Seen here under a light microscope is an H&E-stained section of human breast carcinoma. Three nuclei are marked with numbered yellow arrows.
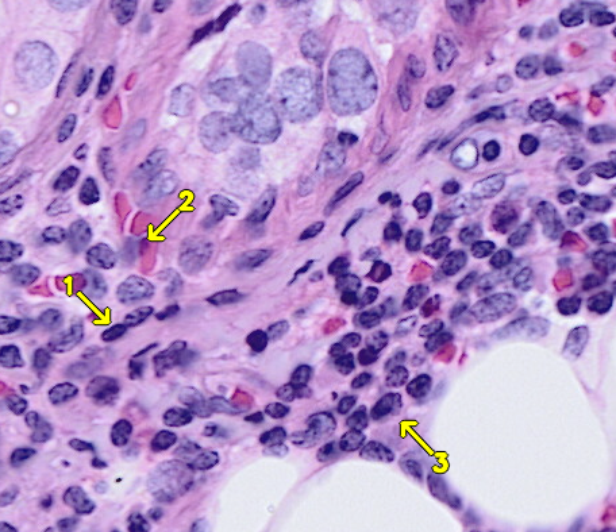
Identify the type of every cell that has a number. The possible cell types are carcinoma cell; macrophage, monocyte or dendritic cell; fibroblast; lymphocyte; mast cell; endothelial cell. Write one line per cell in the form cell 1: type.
cell 1: lymphocyte
cell 2: endothelial cell
cell 3: lymphocyte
